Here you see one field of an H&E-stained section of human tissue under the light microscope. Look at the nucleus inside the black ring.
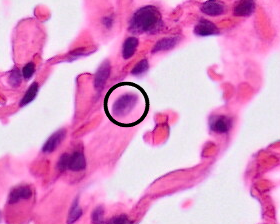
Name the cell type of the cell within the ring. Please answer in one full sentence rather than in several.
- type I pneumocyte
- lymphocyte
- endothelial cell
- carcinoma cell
Just put down that the cell within the ring is a type I pneumocyte.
